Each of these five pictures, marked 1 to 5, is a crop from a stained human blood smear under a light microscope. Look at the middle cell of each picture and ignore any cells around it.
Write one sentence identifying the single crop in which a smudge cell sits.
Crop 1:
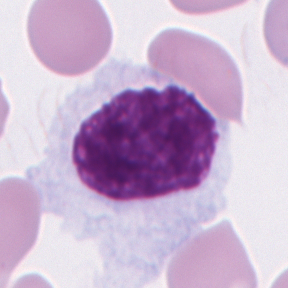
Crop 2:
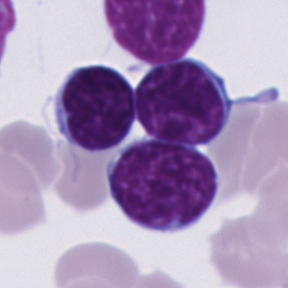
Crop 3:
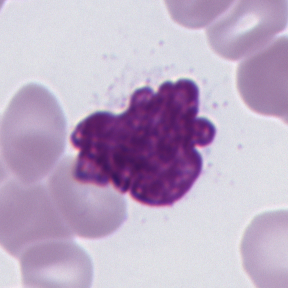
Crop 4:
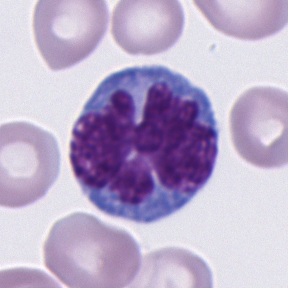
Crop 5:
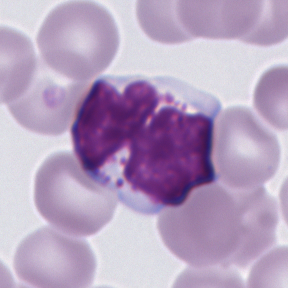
The cell identified as a smudge cell is the one in crop 3.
